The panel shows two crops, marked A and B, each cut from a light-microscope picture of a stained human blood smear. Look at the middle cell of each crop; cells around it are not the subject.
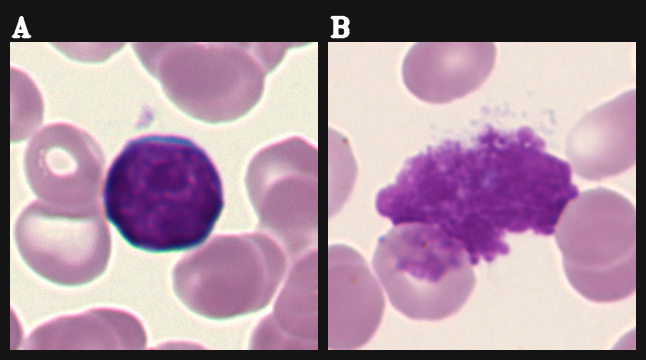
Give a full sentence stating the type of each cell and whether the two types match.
No, crop A corresponds to a typical lymphocyte, while crop B corresponds to a smudge cell.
